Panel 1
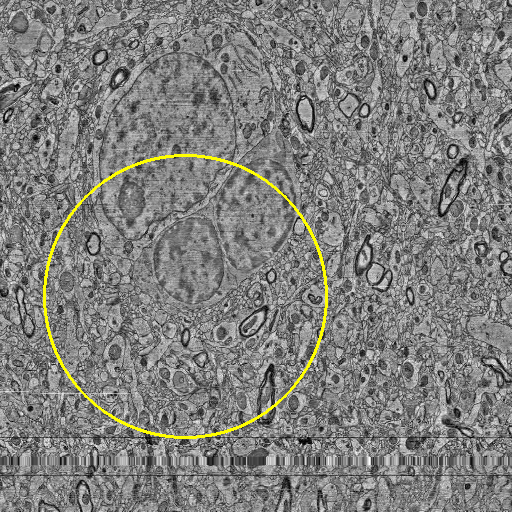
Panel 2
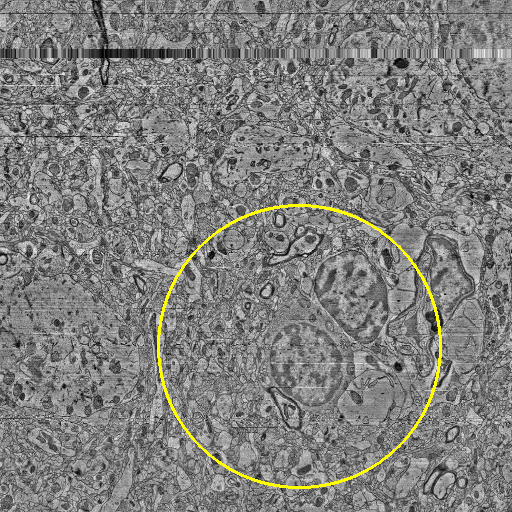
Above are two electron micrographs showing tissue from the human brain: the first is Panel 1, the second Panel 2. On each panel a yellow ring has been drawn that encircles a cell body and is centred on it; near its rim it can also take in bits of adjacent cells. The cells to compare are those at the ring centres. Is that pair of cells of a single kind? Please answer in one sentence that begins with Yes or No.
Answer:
Yes, the ring-centred cells of Panel 1 and Panel 2 belong to one kind.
